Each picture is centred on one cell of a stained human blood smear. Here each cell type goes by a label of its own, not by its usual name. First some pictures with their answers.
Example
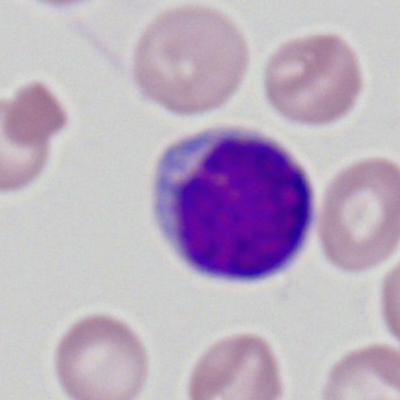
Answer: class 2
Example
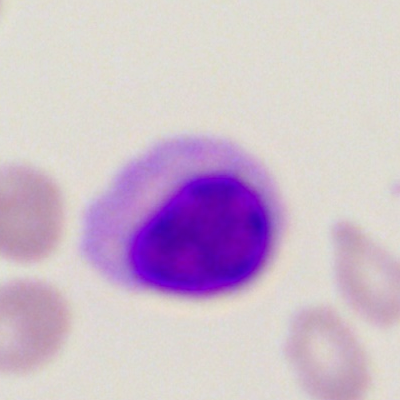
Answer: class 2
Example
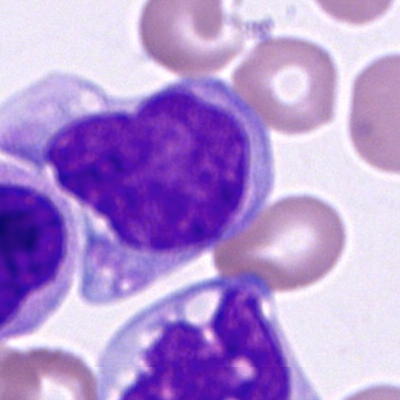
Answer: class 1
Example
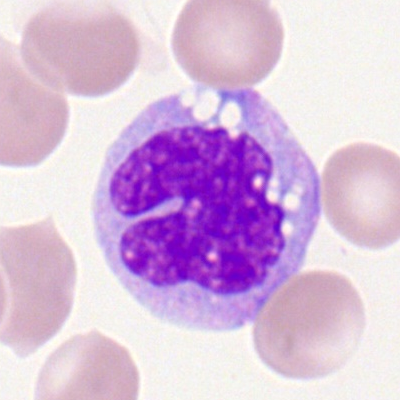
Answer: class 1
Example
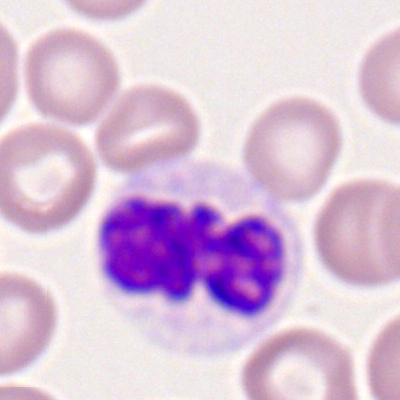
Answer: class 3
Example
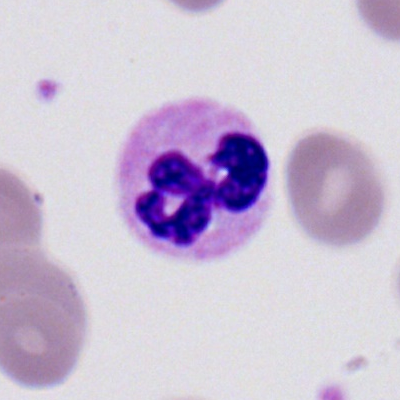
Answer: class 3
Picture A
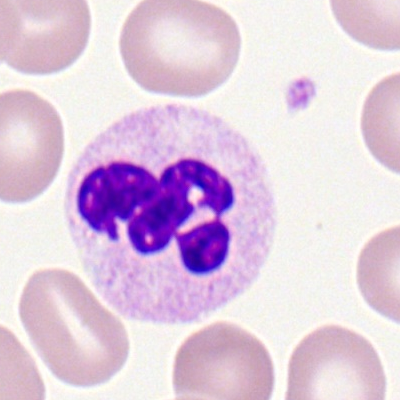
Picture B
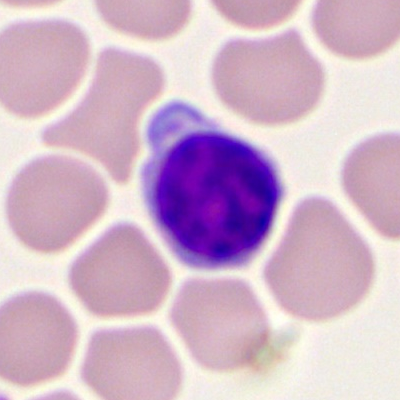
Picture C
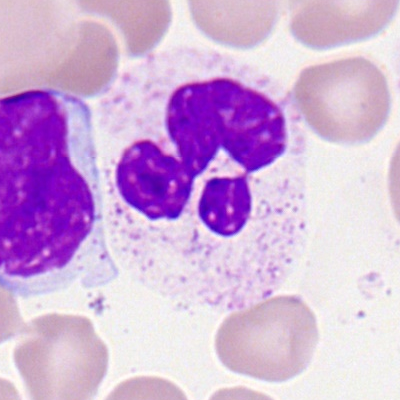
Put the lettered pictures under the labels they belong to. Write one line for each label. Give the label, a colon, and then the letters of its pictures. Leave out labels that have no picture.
class 2: B
class 3: A, C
